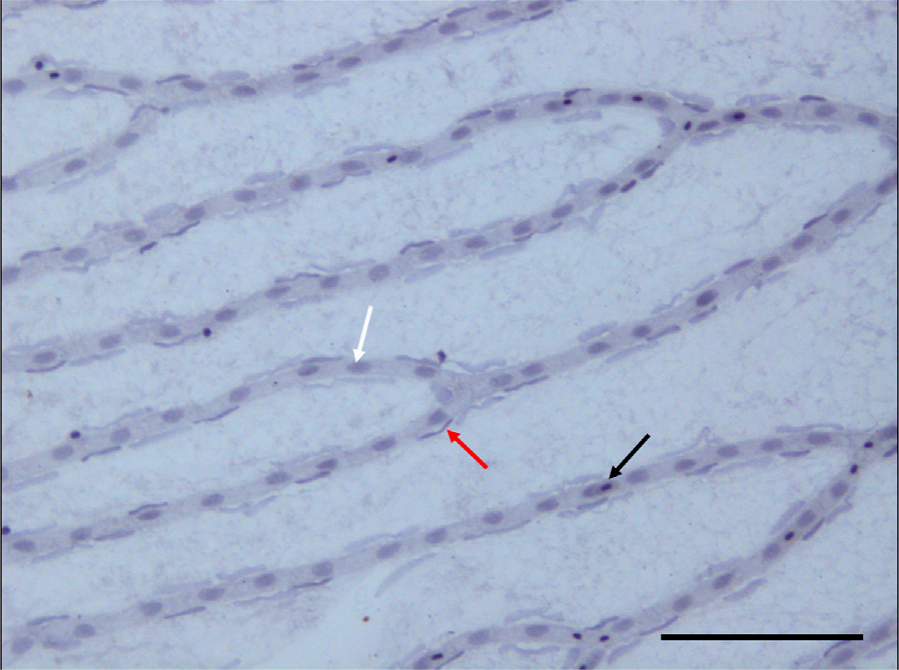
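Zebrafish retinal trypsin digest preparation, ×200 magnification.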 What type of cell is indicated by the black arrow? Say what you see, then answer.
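Erythrocyte. The marked cell is an oval, nucleated cell lying within the vessel tube. Its nucleus is darker and more compact than the neighbouring oval nuclei.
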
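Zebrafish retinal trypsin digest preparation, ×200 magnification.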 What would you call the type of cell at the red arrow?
vascular mural cell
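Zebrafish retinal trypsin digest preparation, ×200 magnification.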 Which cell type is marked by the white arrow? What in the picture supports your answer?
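The marked nucleus is oval and pale. It lies within the wall of the vessel, with its long axis along the vessel. Many similar nuclei are spaced regularly along every vessel.
Answer: Endothelial cell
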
